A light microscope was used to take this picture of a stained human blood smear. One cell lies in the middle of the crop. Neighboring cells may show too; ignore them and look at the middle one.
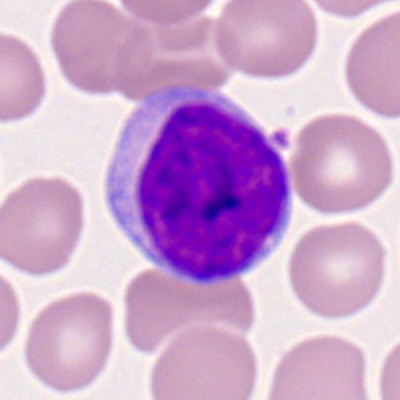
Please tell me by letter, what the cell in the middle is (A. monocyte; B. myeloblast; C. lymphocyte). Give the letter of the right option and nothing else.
C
